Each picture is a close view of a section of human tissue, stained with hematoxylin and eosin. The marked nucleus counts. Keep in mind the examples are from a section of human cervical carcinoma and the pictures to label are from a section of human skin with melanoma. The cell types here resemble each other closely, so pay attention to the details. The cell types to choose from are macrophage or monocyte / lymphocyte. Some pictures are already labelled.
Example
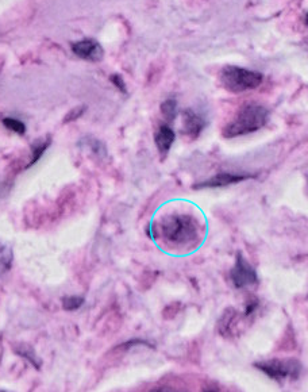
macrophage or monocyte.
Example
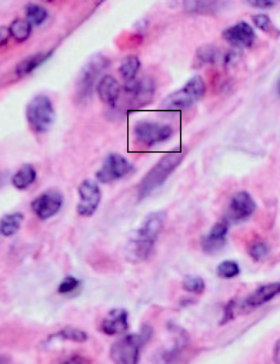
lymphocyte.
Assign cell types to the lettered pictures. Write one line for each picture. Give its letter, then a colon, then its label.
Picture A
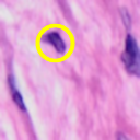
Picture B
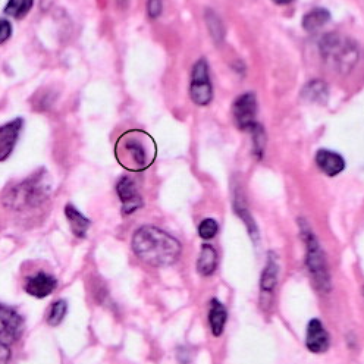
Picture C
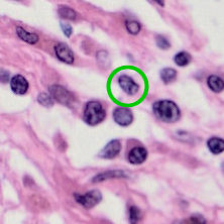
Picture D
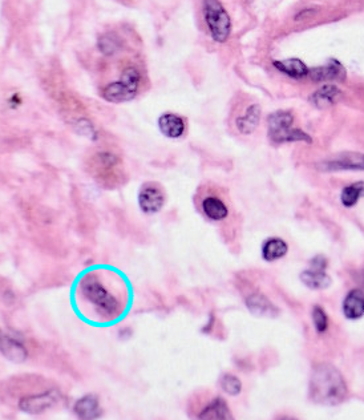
A: lymphocyte.
B: macrophage or monocyte.
C: lymphocyte.
D: macrophage or monocyte.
